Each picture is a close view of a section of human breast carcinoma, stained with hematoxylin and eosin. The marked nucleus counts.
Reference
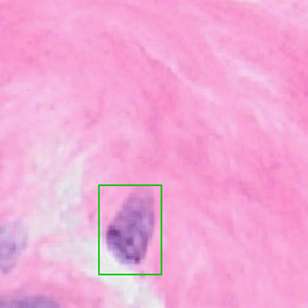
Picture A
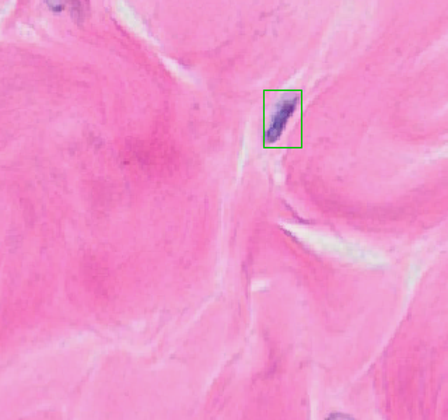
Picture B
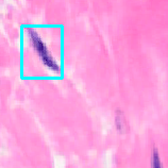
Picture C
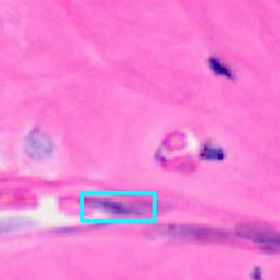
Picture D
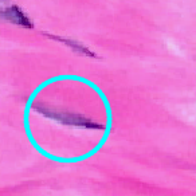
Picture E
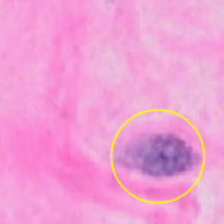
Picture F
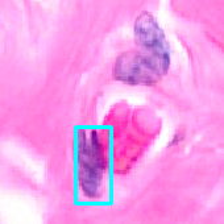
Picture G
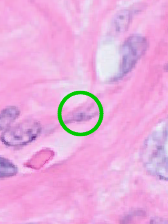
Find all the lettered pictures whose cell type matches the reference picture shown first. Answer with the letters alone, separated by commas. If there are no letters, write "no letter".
A, B, D, E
